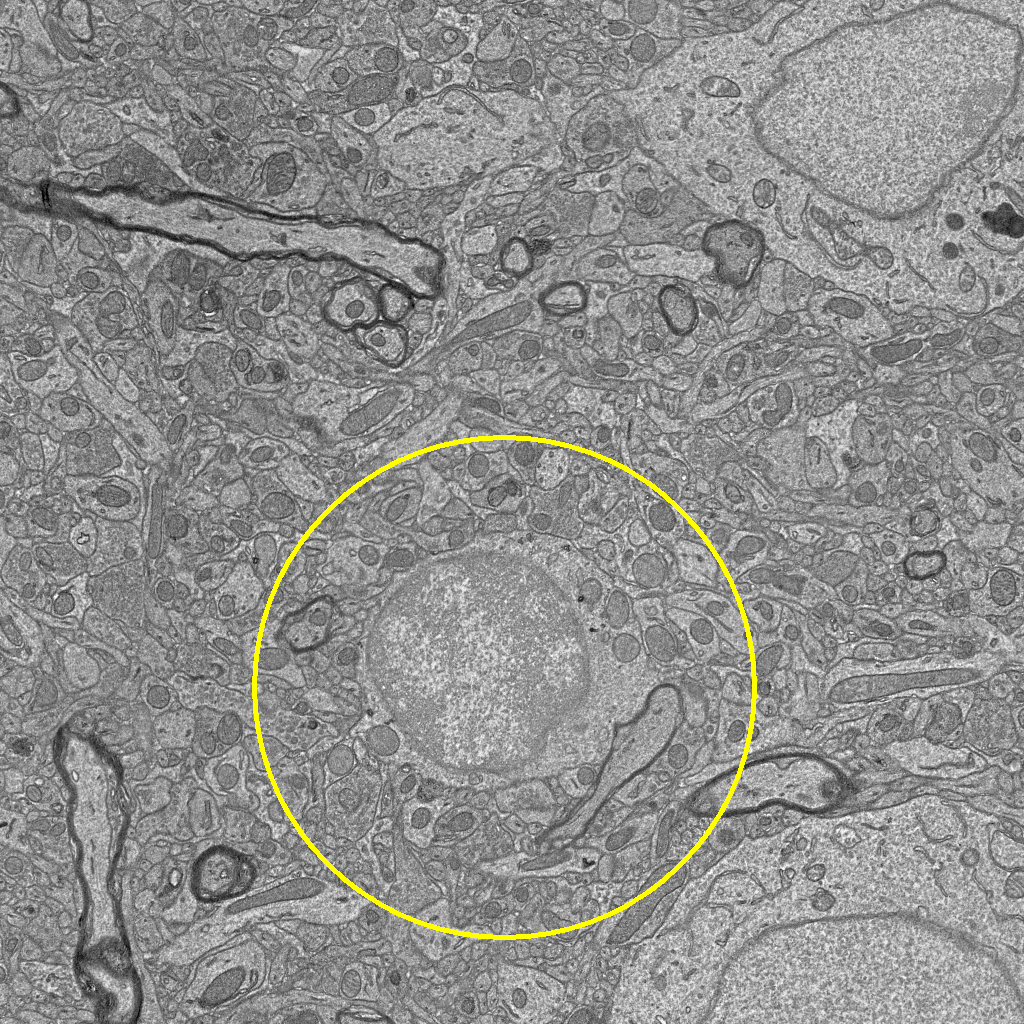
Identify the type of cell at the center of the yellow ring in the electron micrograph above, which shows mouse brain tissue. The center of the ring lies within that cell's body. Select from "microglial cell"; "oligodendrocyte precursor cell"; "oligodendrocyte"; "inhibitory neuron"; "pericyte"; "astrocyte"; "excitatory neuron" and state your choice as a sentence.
The center of the yellow ring lies in the body of an oligodendrocyte.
